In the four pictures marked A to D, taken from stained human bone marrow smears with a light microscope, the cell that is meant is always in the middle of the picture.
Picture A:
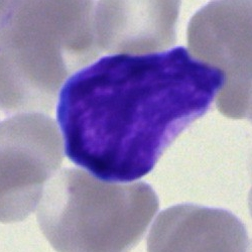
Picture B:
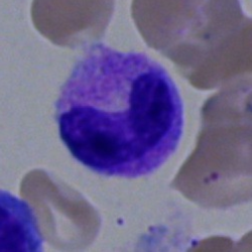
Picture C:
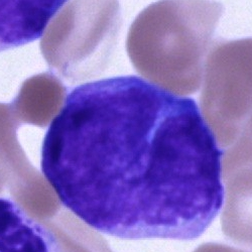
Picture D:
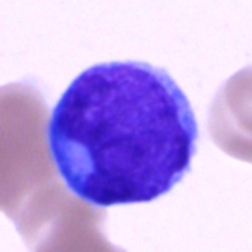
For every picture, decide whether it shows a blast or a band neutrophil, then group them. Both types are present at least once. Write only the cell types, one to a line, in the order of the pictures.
blast
band neutrophil
blast
blast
